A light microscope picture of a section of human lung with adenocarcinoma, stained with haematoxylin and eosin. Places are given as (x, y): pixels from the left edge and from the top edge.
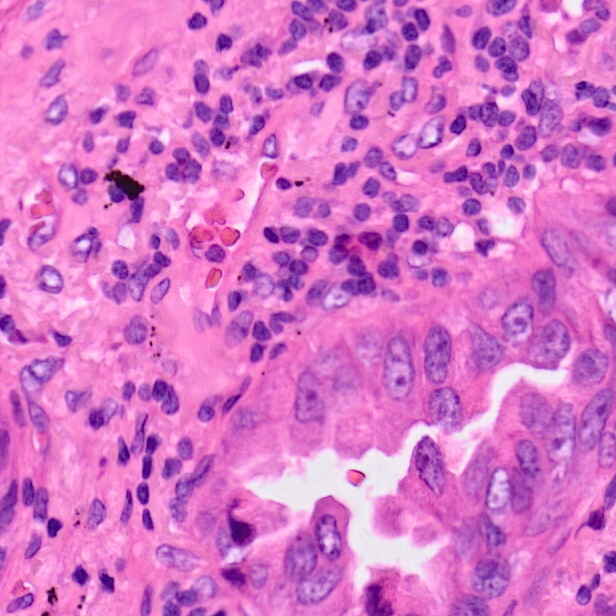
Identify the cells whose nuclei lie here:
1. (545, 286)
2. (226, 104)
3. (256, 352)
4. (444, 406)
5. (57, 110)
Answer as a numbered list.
1. carcinoma cell
2. lymphocyte
3. lymphocyte
4. carcinoma cell
5. fibroblast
